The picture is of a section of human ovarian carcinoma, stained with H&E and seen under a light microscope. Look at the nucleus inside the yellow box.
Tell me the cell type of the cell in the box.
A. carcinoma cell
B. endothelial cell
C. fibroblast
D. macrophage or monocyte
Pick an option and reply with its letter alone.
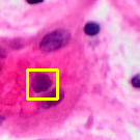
B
